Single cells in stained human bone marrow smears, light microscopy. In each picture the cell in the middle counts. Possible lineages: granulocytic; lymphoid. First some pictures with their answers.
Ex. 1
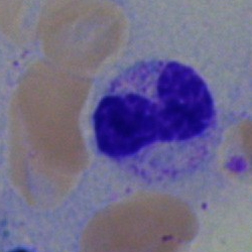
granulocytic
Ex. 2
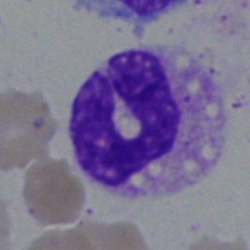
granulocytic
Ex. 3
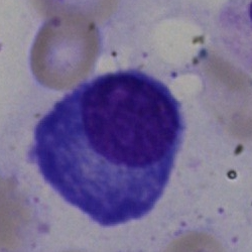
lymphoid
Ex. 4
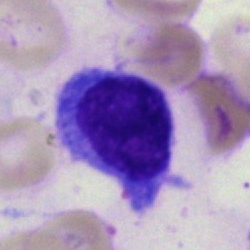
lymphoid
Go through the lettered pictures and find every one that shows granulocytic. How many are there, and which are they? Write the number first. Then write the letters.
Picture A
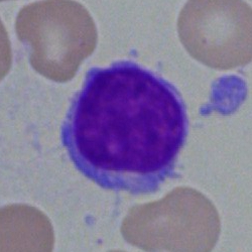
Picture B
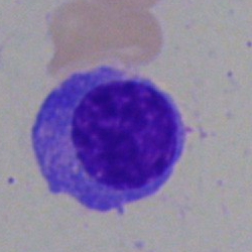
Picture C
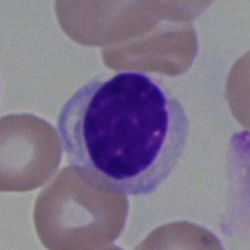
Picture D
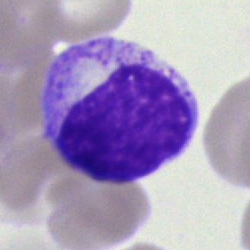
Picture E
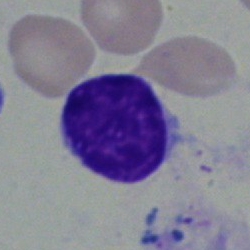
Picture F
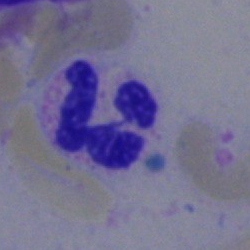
2: D, F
